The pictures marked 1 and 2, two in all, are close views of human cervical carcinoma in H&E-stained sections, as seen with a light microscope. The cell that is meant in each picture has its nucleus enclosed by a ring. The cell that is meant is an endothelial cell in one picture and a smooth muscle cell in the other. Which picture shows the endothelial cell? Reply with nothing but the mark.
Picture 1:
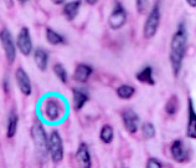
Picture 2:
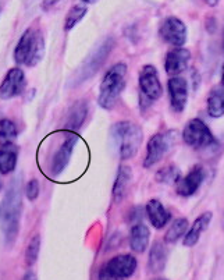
2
